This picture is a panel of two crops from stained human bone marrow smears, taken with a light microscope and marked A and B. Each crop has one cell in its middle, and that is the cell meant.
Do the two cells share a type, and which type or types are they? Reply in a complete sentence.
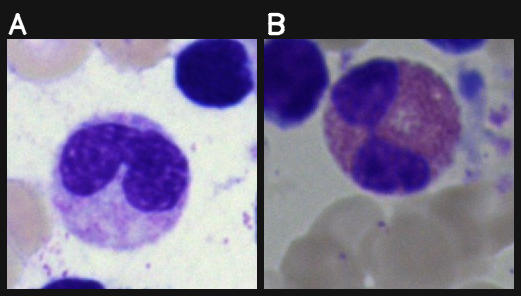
No, the cell shown in crop A is a band neutrophil, and the cell shown in crop B is an eosinophil.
